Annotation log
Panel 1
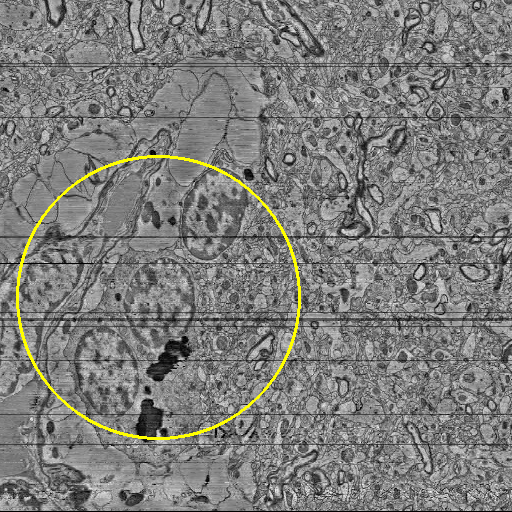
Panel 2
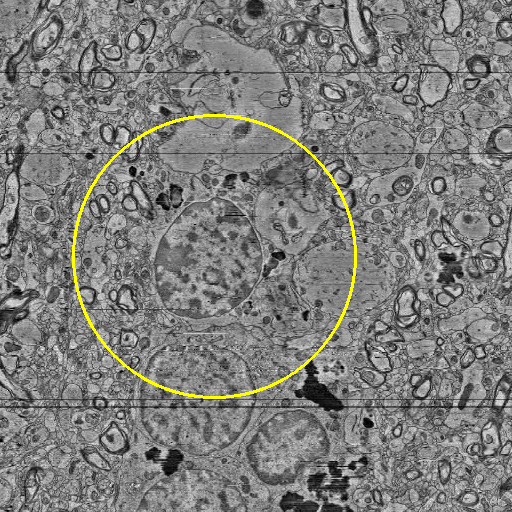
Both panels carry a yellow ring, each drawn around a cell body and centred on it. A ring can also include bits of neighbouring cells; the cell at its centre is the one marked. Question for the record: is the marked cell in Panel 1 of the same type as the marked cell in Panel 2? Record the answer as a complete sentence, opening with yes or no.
No, the marked cells in Panel 1 and Panel 2 are of two types.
